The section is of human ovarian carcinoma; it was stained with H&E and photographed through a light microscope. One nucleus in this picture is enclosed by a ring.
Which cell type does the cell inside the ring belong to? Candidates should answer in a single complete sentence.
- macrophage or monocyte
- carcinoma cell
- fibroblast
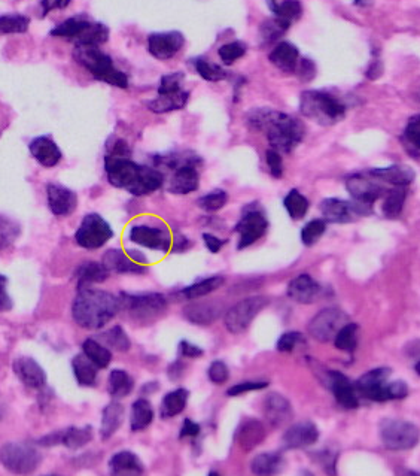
As to its cell type, the cell inside the ring is a carcinoma cell.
